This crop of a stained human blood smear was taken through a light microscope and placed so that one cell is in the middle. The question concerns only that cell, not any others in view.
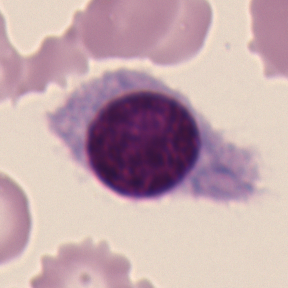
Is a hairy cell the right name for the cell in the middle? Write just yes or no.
yes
